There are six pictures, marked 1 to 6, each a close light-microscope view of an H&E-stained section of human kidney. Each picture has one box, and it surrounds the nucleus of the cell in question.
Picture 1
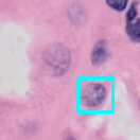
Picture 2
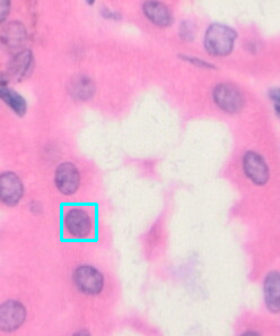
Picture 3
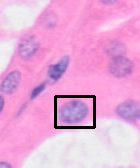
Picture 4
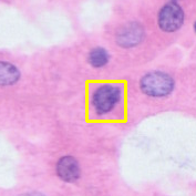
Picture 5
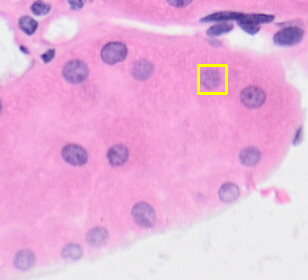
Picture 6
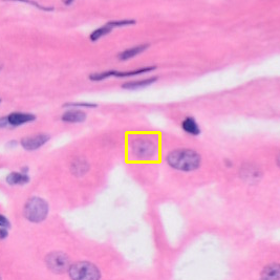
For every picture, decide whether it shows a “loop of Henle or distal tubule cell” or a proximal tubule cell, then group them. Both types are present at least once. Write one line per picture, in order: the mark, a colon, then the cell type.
1: loop of Henle or distal tubule cell
2: proximal tubule cell
3: loop of Henle or distal tubule cell
4: proximal tubule cell
5: proximal tubule cell
6: proximal tubule cell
